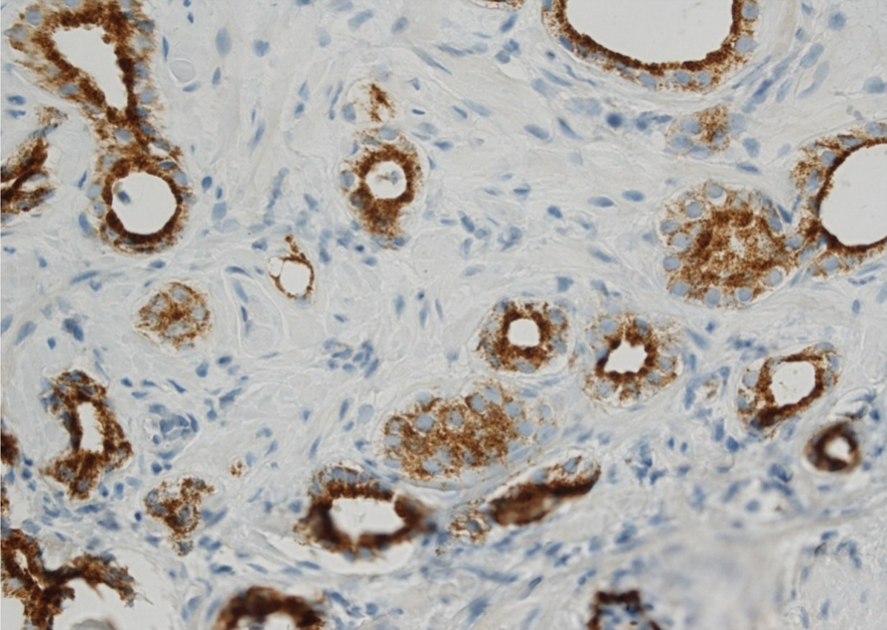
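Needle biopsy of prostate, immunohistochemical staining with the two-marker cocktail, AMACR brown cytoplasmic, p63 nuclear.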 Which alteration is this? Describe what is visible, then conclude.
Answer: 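Loss of basal epithelia cells. The glands are lined by a single layer of epithelial cells. No brown-stained nuclei ring the glands. All nuclei in and around the glands are blue.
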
